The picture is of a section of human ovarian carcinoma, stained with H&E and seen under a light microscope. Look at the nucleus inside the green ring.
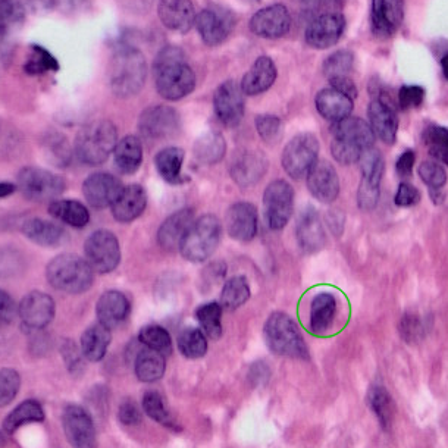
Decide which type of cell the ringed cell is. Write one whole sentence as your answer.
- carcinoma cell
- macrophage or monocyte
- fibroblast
Right, so the ringed cell is a macrophage or monocyte, to answer that.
